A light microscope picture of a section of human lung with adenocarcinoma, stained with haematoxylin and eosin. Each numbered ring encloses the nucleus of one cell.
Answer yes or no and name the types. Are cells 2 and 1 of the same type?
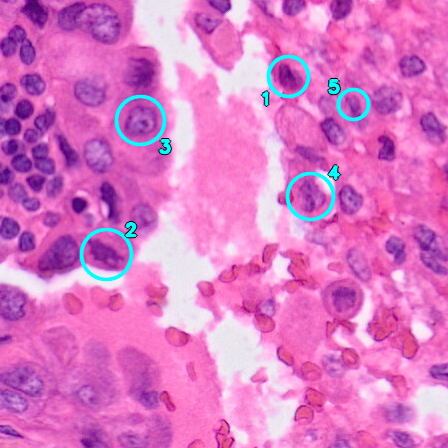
No, as for cell 2, it is a carcinoma cell, and cell 1 is a macrophage or monocyte.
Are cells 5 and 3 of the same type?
No, rather, cell 5 is a macrophage or monocyte and cell 3 is a carcinoma cell.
